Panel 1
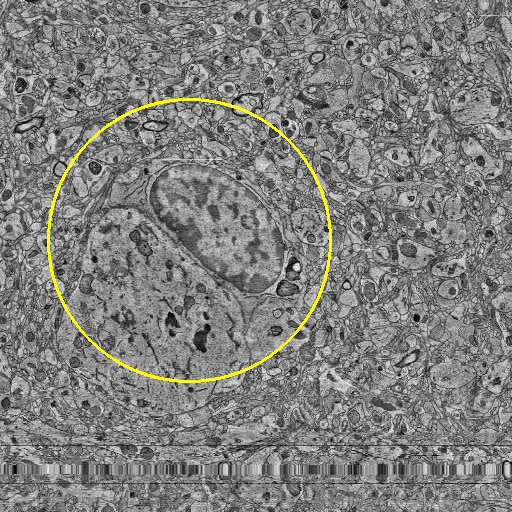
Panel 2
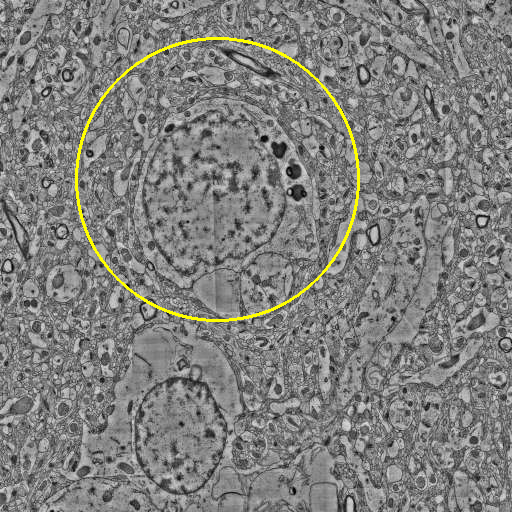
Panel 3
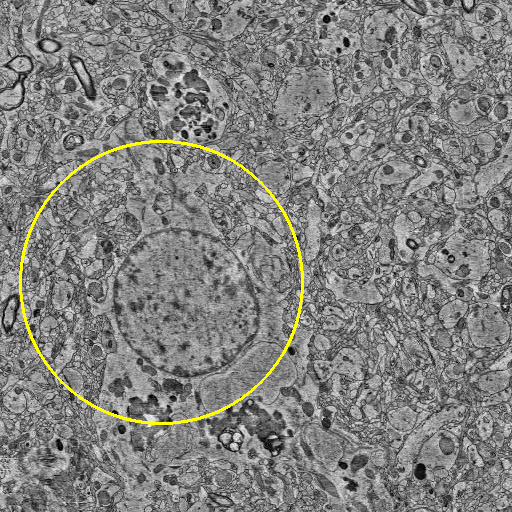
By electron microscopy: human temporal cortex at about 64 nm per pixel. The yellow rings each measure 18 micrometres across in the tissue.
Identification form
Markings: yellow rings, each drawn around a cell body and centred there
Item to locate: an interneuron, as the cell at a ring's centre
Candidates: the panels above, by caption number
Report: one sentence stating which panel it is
It is Panel 2.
